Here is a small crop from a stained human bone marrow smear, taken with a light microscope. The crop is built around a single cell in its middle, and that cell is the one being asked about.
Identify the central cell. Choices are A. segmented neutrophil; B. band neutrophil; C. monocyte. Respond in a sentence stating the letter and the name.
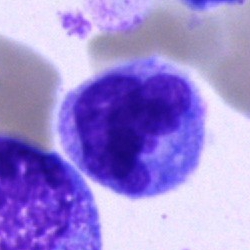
As the central cell is a monocyte, option C is correct.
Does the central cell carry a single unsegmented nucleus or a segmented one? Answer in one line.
Worth pointing out that its nucleus is one compact mass, round, oval or reniform.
